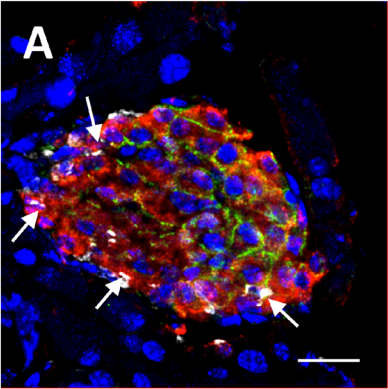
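This is a pancreatic islet, a compact rounded cluster of tightly packed endocrine cells set apart from the surrounding tissue. Nearly all cells in the cluster have red-stained cytoplasm around round blue nuclei, and many are outlined by thin green lines along their borders. Small bright white spots lie mostly at the rim of the islet, marked by the white arrows. The cells outside the islet have blue nuclei but no red stain.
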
